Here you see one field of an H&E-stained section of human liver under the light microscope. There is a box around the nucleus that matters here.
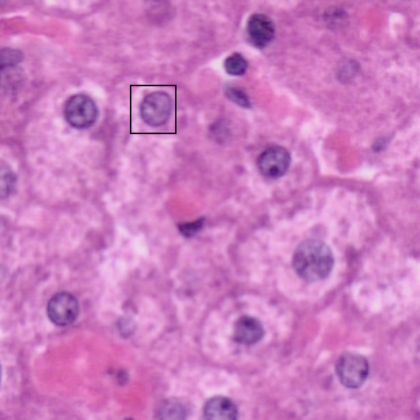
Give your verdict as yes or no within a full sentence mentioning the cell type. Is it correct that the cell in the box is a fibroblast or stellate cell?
No, the cell in the box is reported as a hepatocyte rather than a fibroblast or stellate cell.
